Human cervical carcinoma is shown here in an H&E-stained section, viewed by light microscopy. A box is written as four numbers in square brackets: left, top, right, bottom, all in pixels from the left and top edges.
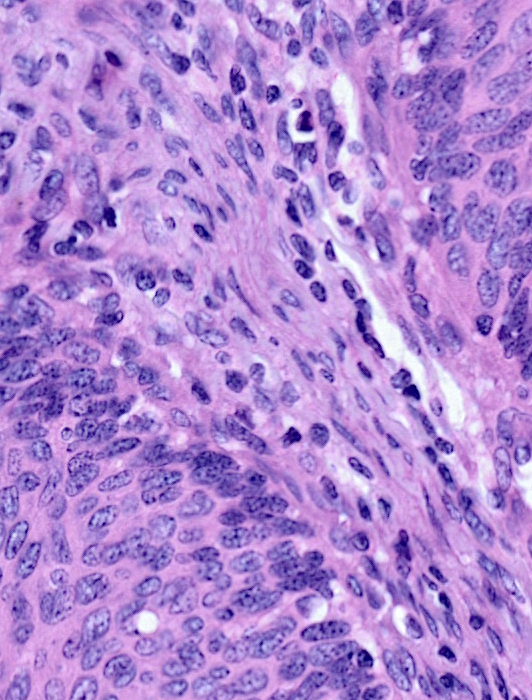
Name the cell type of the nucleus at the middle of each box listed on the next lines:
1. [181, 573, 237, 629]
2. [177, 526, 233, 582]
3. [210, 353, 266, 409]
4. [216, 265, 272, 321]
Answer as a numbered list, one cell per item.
1. squamous carcinoma cell
2. squamous carcinoma cell
3. lymphocyte
4. smooth muscle cell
